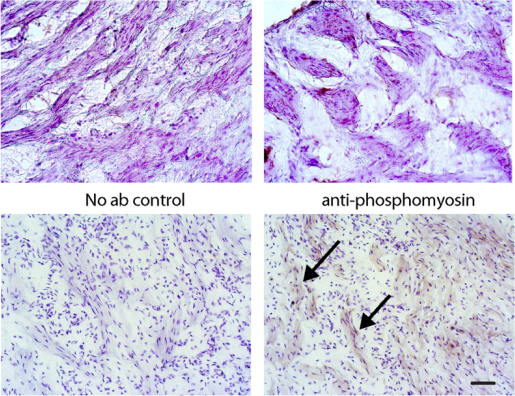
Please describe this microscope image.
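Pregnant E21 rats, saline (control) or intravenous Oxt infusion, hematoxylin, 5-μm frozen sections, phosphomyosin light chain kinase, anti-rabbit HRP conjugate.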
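These are sections of uterine myometrium, the smooth muscle wall of the uterus, made of long spindle-shaped muscle cells. In the upper left image the purple-stained cells run as fairly even, wavy parallel strands across the field. In the upper right image the same kind of cells are gathered into compact, darker clumps separated by wide pale areas. The lower two images are paler sections where small blue-purple nuclei lie scattered among faint elongated cells; in the right one a light brown stain follows some of the elongated cells in bundles, pointed out by arrows, while the left one shows no brown.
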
